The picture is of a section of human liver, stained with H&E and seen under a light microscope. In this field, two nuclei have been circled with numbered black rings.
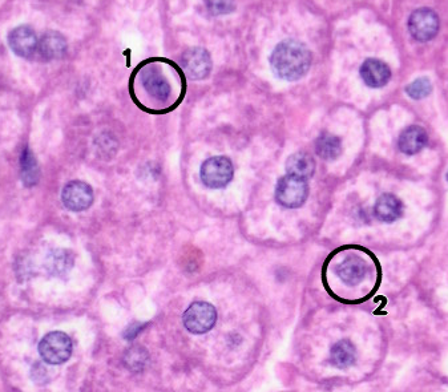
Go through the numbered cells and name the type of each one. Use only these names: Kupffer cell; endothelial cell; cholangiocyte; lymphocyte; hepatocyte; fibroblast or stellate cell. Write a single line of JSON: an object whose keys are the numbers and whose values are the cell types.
{"1": "Kupffer cell", "2": "hepatocyte"}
